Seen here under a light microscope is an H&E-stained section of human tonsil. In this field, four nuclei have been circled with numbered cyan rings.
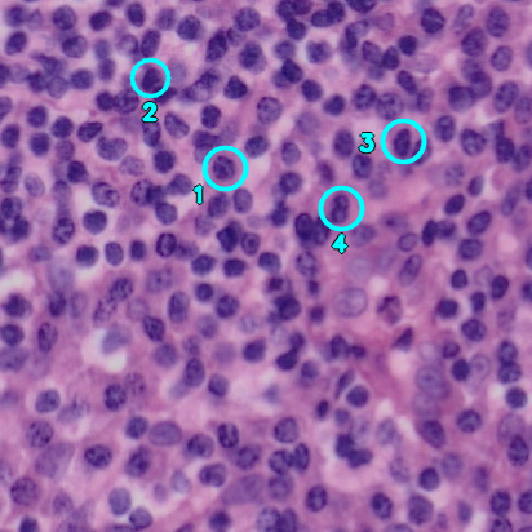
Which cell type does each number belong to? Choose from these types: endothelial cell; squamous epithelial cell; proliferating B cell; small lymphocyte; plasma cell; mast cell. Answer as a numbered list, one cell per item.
1. plasma cell
2. small lymphocyte
3. plasma cell
4. plasma cell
